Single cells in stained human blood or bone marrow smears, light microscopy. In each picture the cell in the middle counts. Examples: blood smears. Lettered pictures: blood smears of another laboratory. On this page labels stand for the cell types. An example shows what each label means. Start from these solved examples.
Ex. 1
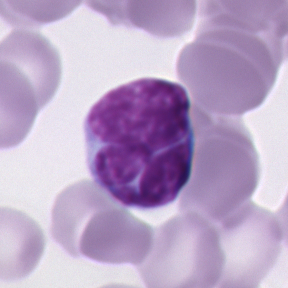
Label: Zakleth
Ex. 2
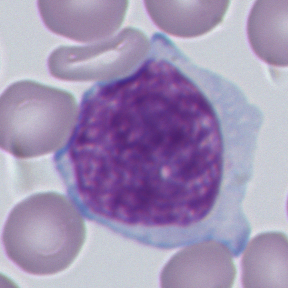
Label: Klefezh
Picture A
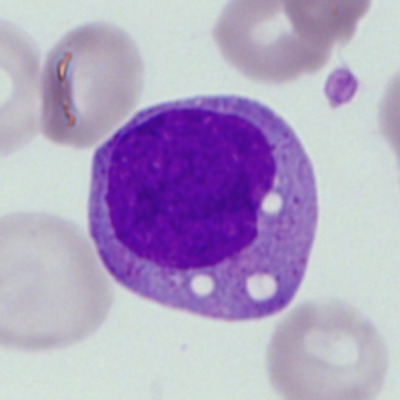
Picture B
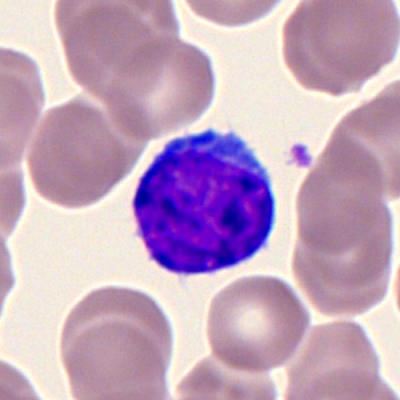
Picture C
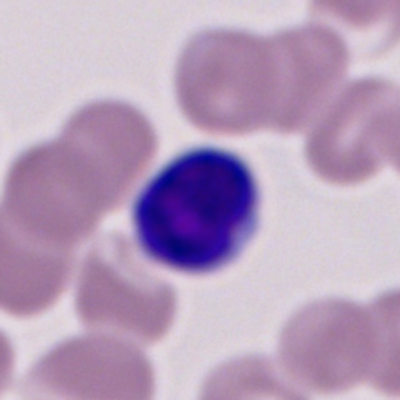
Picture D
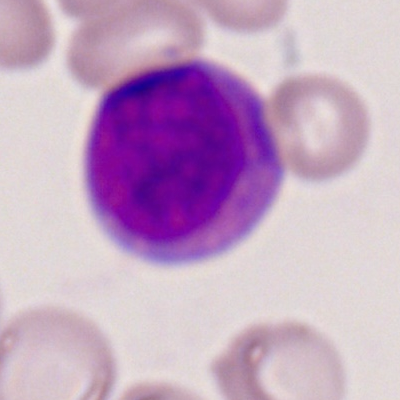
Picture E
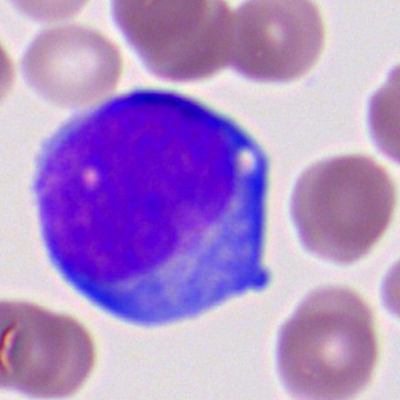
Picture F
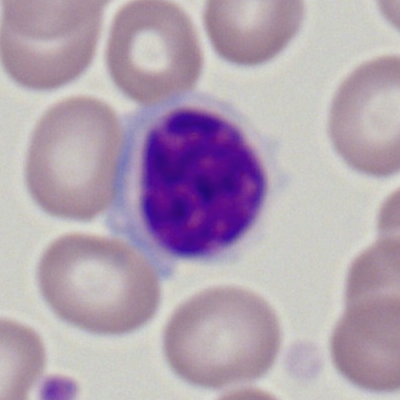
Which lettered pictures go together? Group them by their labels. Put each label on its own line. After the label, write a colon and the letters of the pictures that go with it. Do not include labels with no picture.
Zakleth: B, C, F
Klefezh: A, D, E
